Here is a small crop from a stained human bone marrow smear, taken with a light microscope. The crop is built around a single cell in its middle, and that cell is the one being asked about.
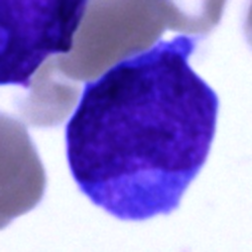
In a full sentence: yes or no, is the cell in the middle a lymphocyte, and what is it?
No, in this crop the middle cell is a blast, not a lymphocyte.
